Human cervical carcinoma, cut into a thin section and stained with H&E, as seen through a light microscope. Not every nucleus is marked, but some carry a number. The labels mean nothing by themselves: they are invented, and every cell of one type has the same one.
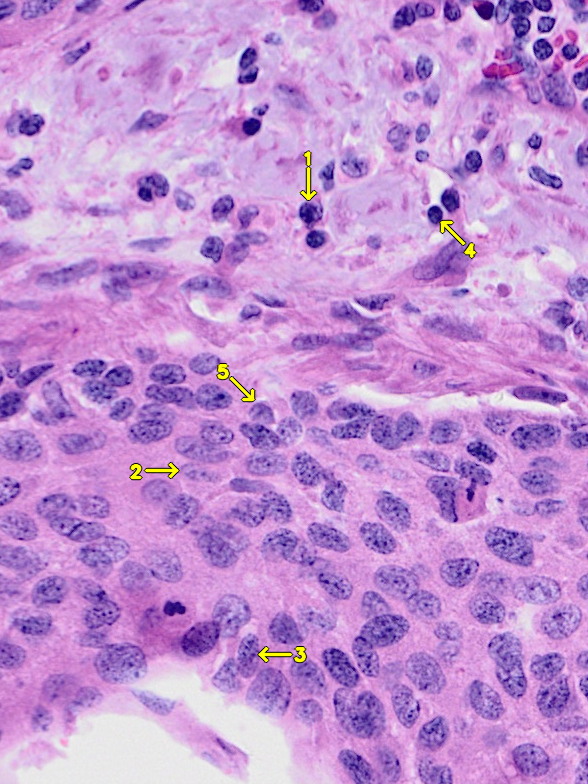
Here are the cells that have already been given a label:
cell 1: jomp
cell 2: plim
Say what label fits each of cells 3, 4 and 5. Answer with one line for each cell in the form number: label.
3: plim
4: jomp
5: plim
